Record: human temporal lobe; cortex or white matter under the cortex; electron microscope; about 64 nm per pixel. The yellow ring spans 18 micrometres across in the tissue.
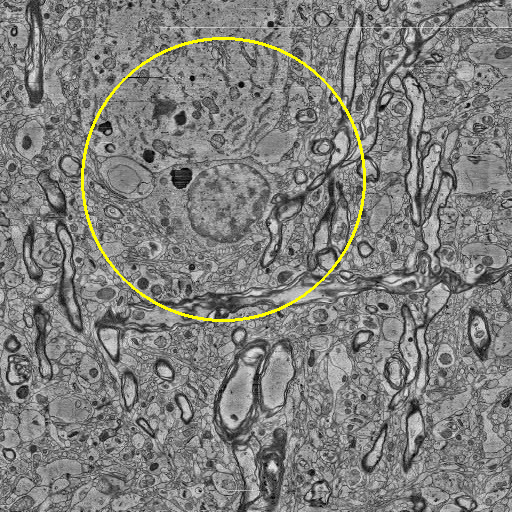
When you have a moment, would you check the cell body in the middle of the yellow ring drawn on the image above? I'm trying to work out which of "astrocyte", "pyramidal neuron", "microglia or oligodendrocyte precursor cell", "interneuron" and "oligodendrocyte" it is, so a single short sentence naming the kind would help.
This cell body belongs to an oligodendrocyte.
